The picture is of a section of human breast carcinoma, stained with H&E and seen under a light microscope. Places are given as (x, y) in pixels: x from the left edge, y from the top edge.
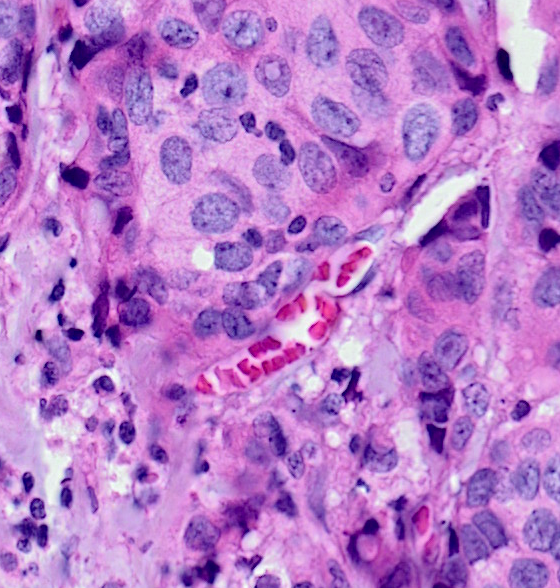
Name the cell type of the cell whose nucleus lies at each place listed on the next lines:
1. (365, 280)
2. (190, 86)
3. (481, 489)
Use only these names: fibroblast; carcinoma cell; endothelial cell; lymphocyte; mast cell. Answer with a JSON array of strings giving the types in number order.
["endothelial cell", "lymphocyte", "carcinoma cell"]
